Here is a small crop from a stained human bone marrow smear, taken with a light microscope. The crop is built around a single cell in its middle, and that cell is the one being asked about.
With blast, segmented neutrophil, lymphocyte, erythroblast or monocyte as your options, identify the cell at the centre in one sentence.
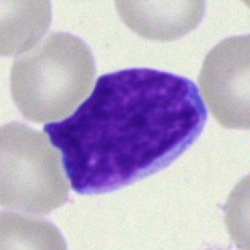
Seen at the centre of the crop is a blast.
